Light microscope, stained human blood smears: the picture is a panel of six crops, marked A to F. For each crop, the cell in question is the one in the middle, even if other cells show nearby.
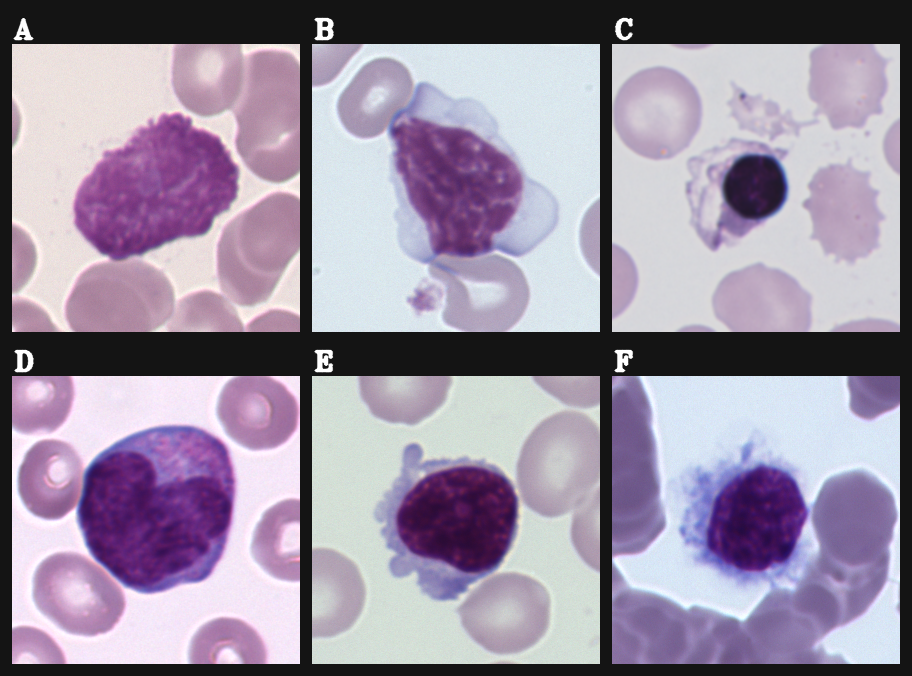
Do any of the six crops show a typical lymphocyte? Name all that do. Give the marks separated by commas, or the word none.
B, E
